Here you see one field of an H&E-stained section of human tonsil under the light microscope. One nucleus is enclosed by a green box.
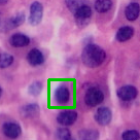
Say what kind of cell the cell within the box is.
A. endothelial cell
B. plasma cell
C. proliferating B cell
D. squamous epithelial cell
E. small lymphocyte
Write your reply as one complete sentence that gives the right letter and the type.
Option B describes the cell within the box accurately as a plasma cell.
